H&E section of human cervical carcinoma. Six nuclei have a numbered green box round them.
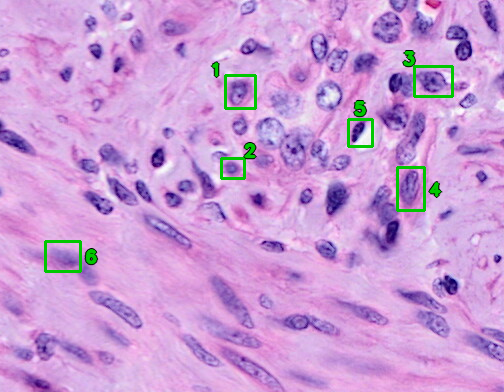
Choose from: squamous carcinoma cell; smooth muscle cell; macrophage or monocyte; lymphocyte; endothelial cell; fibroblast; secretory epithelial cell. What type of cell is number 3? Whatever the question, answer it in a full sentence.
The marked nucleus 3 is that of a lymphocyte.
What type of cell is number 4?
Cell number 4 in this section is an endothelial cell.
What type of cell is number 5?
The nucleus labeled 5 belongs to a lymphocyte.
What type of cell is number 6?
In the tissue shown, cell 6 is a smooth muscle cell.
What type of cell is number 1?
Among the marked nuclei, number 1 belongs to a smooth muscle cell.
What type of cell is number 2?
The cell carrying label 2 is identified as a smooth muscle cell.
